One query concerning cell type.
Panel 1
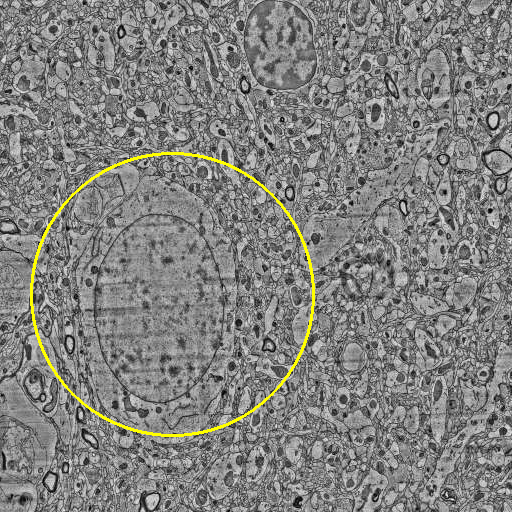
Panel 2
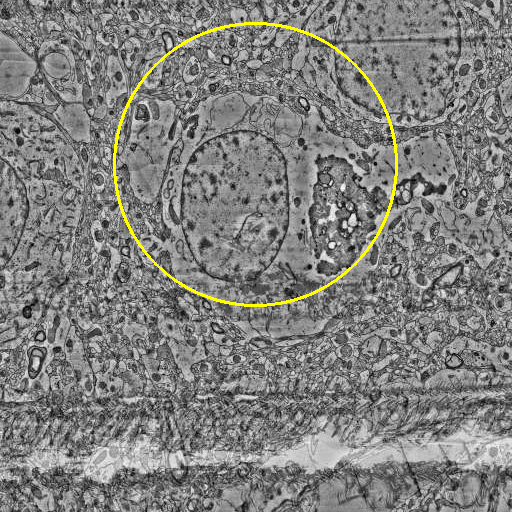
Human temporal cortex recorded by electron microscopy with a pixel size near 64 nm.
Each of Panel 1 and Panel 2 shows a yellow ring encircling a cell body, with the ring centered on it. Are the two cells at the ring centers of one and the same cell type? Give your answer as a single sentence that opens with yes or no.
No, the cell centered in Panel 1 and the one in Panel 2 are of two types.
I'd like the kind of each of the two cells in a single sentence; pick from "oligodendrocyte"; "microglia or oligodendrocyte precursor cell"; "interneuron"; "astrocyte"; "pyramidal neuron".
The first ring marks a pyramidal neuron, and the second ring marks an astrocyte.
